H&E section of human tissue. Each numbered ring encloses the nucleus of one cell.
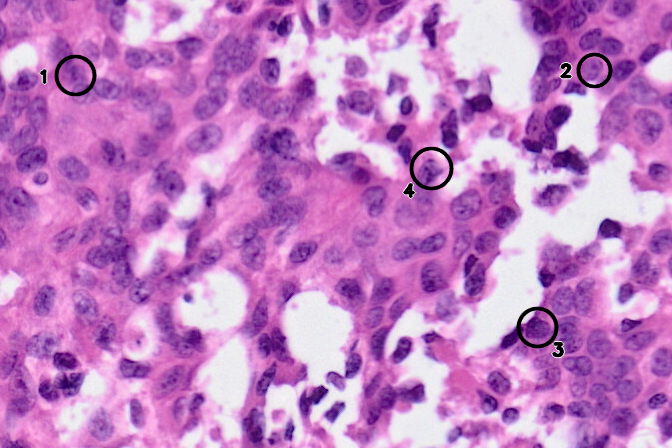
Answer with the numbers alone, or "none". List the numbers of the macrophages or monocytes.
4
